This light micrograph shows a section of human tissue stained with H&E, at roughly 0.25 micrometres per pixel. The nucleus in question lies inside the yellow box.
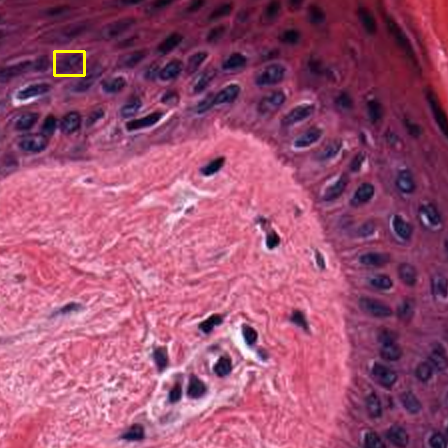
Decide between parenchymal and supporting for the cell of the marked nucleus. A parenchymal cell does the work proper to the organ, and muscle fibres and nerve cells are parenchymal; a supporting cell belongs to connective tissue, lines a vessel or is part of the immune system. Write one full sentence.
To a parenchymal cell, namely a keratinocyte, belongs the marked nucleus.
